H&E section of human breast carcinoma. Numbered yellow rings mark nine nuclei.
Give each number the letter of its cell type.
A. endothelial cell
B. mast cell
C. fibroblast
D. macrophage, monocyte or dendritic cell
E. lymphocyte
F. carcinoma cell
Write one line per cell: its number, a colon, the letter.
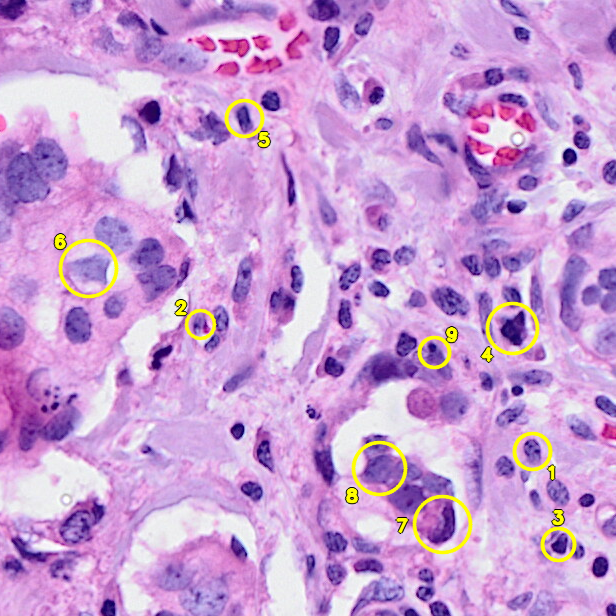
1: B
2: A
3: E
4: E
5: E
6: F
7: F
8: F
9: E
